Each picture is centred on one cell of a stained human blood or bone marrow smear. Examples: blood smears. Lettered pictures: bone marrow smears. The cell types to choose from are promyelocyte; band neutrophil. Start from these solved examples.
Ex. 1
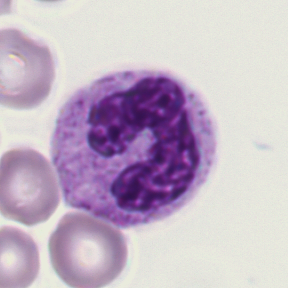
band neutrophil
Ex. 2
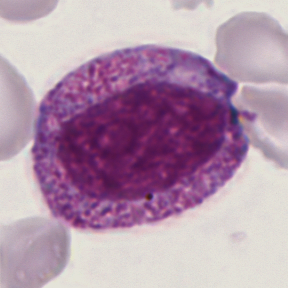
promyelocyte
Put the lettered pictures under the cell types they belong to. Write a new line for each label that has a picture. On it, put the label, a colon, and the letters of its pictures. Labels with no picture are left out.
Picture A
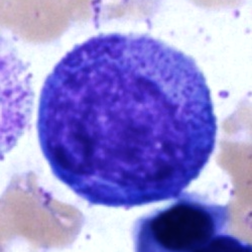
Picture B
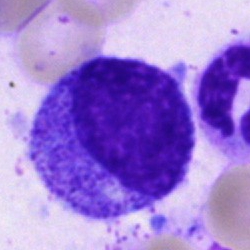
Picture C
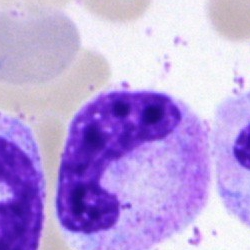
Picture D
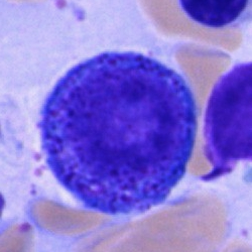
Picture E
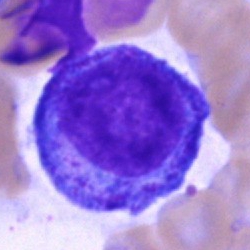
promyelocyte: A, B, D, E
band neutrophil: C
